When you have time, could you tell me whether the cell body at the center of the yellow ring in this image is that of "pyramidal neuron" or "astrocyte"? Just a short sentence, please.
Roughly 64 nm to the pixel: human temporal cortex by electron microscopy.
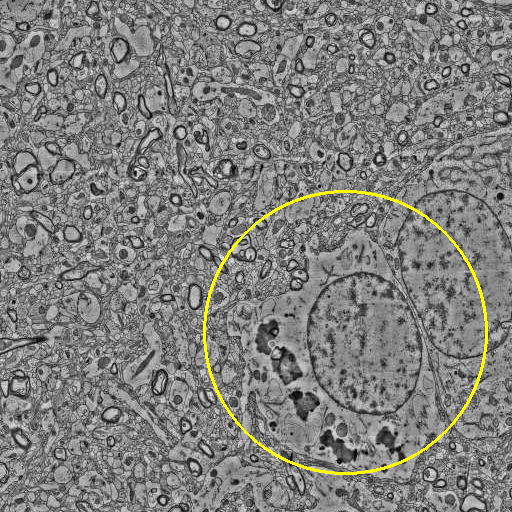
The cell body at the center of the ring is that of an astrocyte.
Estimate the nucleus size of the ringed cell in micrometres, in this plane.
Approximately 9 x 7 micrometres in this plane.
